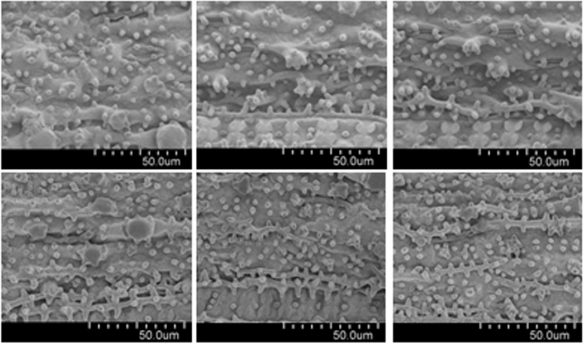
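Six scanning electron micrographs of leaf epidermis are set in two rows of three. The surface is covered with many small rounded papillae. Ridges and rows of raised cells run roughly horizontally across each field. At this magnification, individual stomata are not clearly resolved.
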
